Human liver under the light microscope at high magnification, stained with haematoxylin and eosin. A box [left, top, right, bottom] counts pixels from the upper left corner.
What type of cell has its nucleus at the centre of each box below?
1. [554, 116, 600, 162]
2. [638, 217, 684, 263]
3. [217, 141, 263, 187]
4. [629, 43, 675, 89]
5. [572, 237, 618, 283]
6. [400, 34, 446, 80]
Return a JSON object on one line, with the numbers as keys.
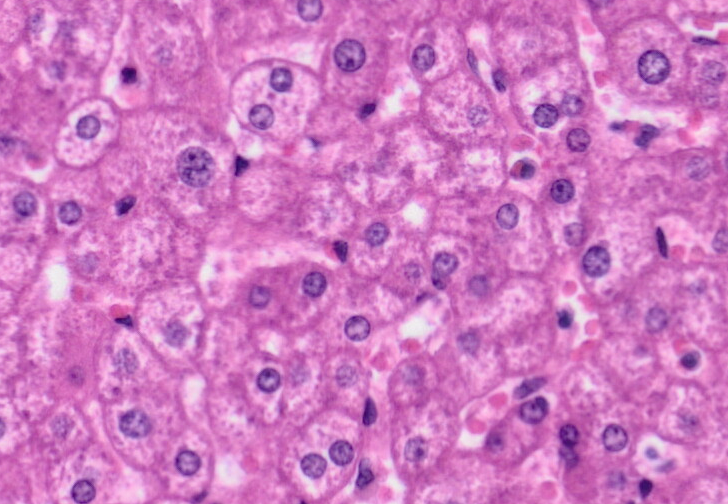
{"1": "hepatocyte", "2": "endothelial cell", "3": "fibroblast or stellate cell", "4": "hepatocyte", "5": "hepatocyte", "6": "hepatocyte"}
